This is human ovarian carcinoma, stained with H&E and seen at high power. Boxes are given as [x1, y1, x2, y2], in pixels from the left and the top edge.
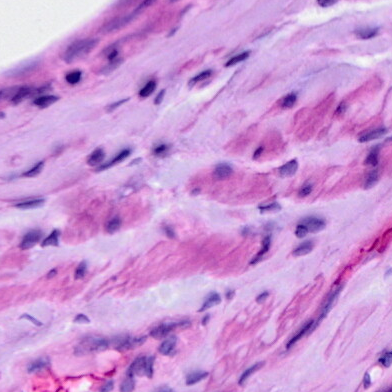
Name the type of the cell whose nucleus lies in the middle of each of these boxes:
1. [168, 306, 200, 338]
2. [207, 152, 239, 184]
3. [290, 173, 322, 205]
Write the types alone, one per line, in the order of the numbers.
endothelial cell
smooth muscle cell
smooth muscle cell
